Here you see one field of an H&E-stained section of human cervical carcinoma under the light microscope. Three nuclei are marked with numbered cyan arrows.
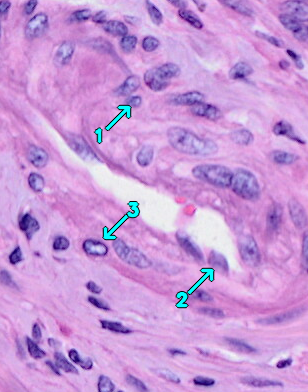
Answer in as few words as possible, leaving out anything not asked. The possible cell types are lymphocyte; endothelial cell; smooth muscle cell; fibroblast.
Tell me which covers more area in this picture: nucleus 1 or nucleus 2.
2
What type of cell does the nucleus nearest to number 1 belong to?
smooth muscle cell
